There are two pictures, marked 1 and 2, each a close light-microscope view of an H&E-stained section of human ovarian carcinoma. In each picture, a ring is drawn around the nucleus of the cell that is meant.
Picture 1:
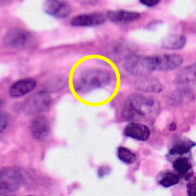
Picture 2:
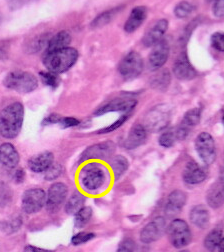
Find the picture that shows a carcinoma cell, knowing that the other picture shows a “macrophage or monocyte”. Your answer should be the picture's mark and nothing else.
1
